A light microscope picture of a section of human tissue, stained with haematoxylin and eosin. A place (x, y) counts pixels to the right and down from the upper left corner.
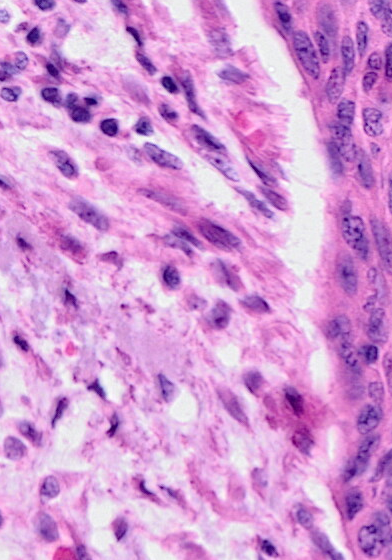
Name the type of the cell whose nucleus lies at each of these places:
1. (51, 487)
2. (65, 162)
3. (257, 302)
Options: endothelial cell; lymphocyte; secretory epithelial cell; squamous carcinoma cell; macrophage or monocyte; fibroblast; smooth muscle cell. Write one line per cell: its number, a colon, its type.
1: macrophage or monocyte
2: macrophage or monocyte
3: fibroblast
